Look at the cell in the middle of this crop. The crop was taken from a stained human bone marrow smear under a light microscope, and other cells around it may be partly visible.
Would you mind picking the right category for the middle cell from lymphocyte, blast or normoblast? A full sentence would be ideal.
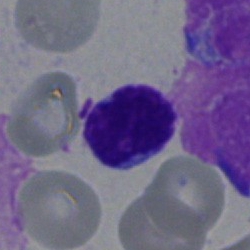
The cell that lies at the centre of the crop is a lymphocyte.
